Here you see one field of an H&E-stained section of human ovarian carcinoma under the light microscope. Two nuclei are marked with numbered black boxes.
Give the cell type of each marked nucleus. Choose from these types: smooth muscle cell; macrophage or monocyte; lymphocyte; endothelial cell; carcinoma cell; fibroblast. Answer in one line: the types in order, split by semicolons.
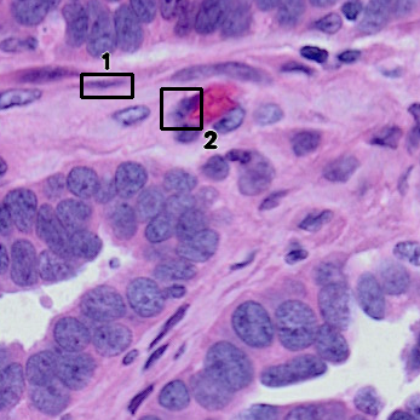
fibroblast; endothelial cell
